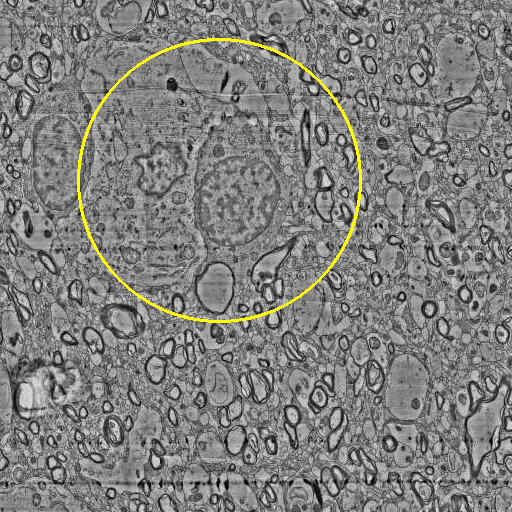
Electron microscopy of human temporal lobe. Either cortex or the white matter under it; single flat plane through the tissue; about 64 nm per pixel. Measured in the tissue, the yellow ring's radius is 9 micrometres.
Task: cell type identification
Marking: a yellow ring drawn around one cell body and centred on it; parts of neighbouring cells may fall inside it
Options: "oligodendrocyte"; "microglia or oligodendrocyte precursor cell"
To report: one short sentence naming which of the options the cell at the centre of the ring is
The cell at the centre of the ring is an oligodendrocyte.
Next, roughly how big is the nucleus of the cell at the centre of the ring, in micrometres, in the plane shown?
About 6 by 5 micrometers for the nucleus, in this plane.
